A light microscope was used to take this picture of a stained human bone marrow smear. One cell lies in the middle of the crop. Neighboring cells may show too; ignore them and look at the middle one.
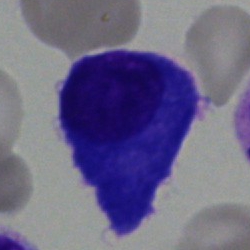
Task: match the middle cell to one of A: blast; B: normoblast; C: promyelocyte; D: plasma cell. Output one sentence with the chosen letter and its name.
What sits in the middle of the crop is a plasma cell, and option D is correct.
